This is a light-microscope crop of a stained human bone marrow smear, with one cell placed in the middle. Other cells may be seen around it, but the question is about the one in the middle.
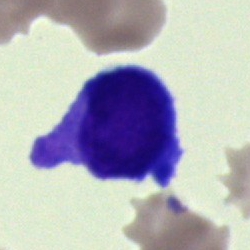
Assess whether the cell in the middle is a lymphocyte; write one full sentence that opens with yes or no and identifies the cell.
No, not a lymphocyte: the cell in the middle of this crop is a blast.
